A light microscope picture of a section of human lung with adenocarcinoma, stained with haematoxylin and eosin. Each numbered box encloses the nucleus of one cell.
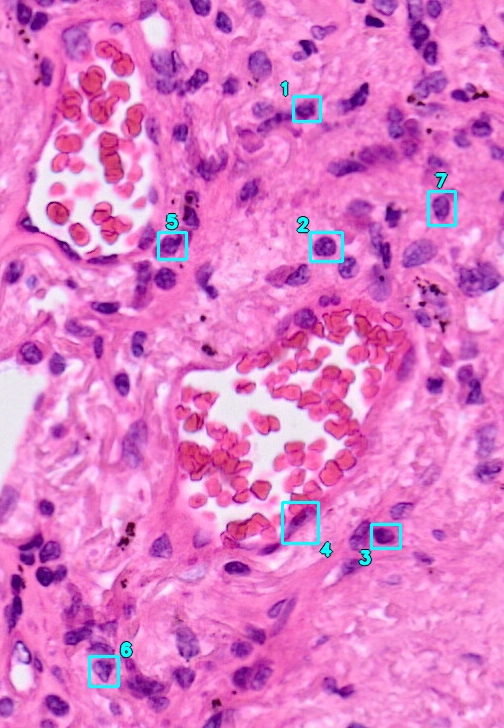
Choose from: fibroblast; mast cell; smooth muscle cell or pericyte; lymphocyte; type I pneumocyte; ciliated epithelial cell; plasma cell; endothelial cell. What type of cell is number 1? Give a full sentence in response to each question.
The identity of cell 1 is that of a plasma cell.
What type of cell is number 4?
Classified as an endothelial cell is the cell with the number 4.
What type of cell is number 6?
The cell referred to as 6 is a lymphocyte.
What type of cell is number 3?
Corresponding to a plasma cell is the cell labelled 3.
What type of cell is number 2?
Among the marked cells, number 2 is a lymphocyte.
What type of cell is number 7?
The mark numbered 7 indicates the nucleus of a lymphocyte.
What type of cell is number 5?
The cell identified by the number 5 is a plasma cell.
